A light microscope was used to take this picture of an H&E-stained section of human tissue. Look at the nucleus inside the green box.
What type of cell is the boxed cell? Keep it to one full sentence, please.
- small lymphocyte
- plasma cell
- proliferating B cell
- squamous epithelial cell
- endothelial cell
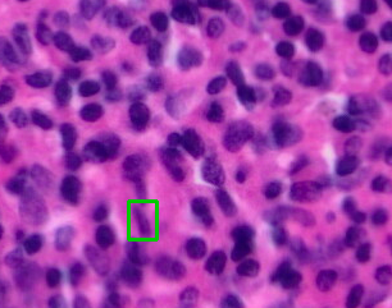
With respect to cell type, the boxed cell is an endothelial cell.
